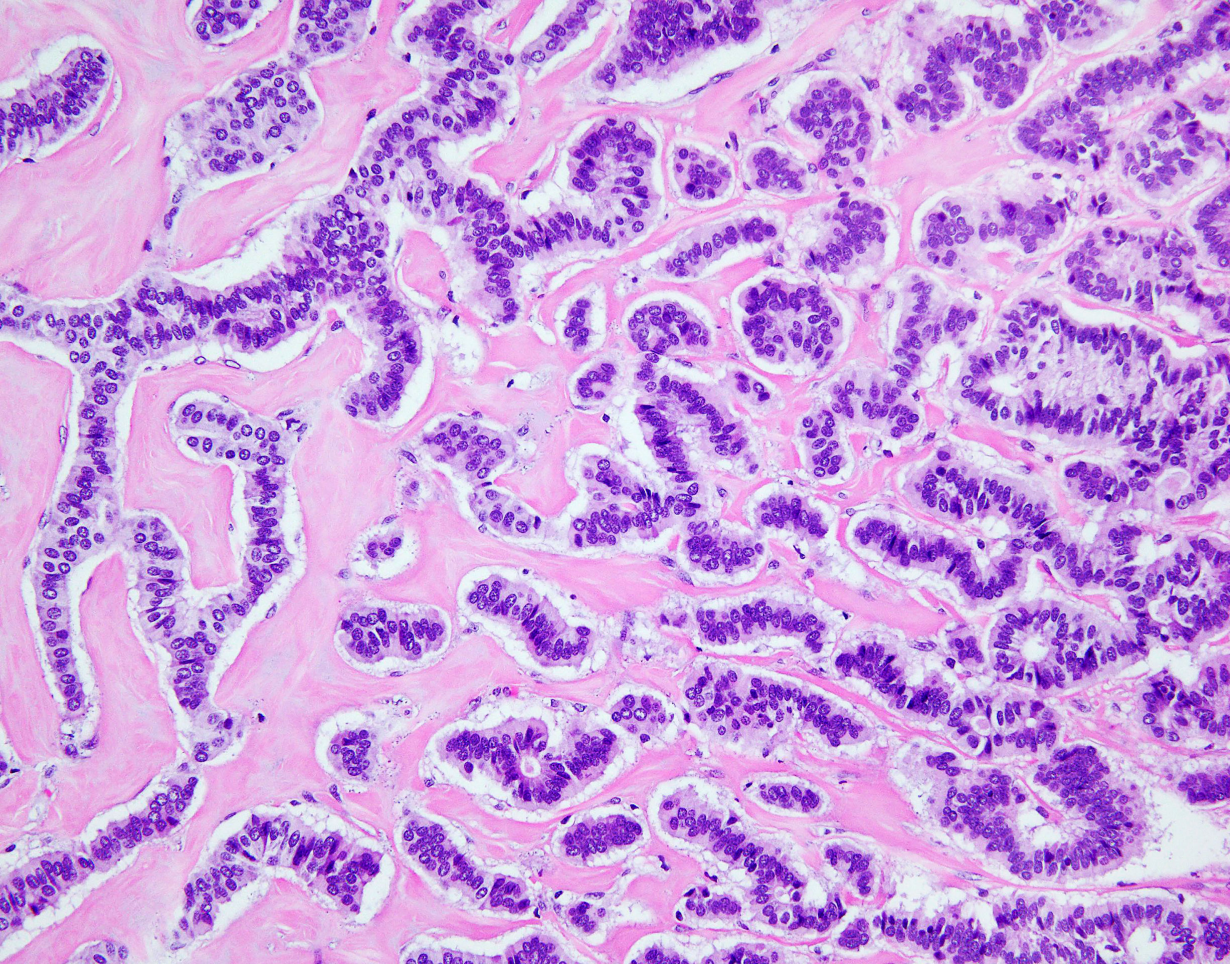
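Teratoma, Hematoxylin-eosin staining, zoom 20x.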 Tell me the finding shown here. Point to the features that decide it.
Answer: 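Oblong nuclei oriented perpendicular to main axis of ribbons. Nuclei are elongated oval rather than round. Along the cords the nuclei line up side by side with their long axes across the cord. The nuclei palisade along the edges of the cords.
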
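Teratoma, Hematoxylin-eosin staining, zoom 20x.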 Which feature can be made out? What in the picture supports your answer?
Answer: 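Small rounded clusters of cells lie among the cords. Dense pink collagenous stroma separates the cords and clusters.
Hence: Long parallel ribbons and small islands and nests of cells.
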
